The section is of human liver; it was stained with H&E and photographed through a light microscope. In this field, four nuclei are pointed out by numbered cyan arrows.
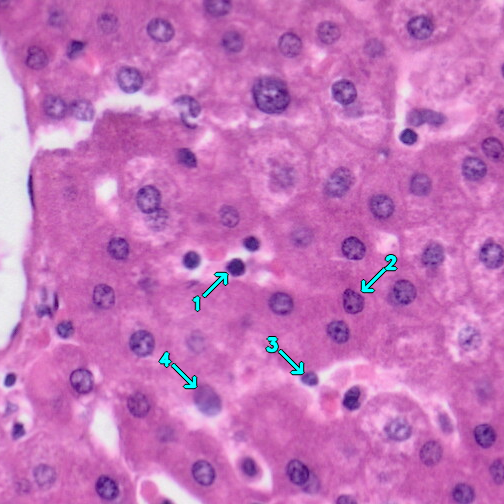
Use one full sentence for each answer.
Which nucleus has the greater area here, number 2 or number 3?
Nucleus 2 is the larger one, covering about 1.5 times the area of nucleus 3.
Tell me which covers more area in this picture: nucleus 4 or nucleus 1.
It is nucleus 4, which covers about 2.5 times the area of nucleus 1.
